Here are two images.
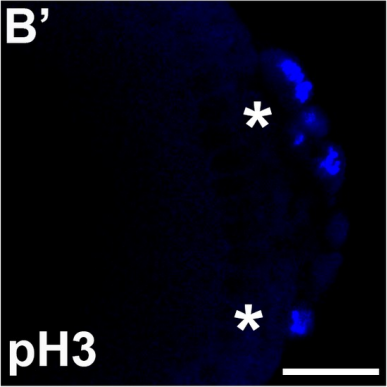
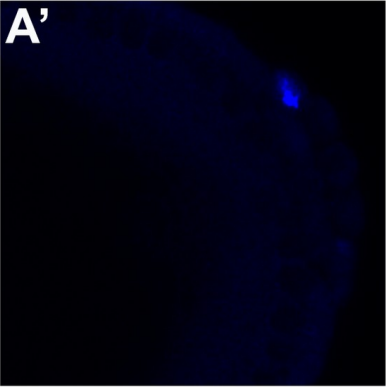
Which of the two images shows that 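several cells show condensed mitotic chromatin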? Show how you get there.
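First image: several bright blue compact spots lie along the outer edge. Second image: only a single bright blue spot is visible.
Hence: the first image.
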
